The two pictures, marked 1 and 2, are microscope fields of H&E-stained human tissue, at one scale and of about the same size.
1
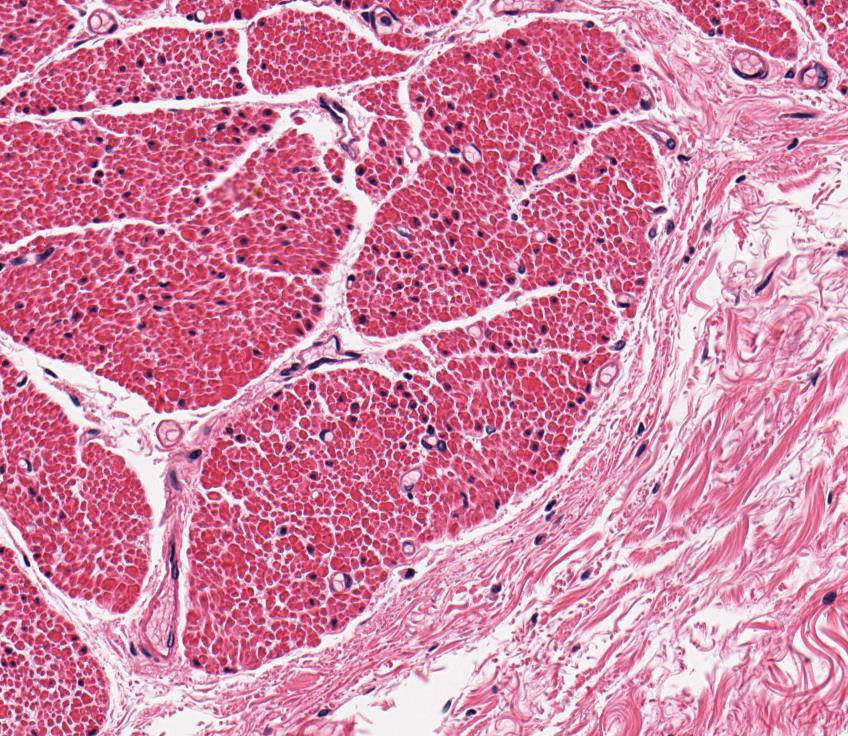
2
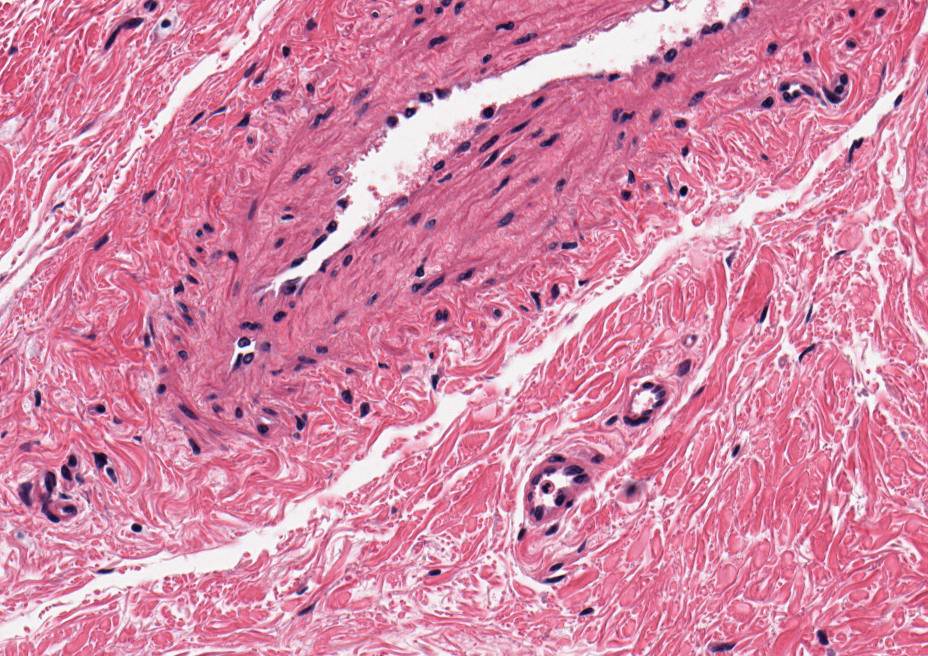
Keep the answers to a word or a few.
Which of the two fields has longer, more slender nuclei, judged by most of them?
2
